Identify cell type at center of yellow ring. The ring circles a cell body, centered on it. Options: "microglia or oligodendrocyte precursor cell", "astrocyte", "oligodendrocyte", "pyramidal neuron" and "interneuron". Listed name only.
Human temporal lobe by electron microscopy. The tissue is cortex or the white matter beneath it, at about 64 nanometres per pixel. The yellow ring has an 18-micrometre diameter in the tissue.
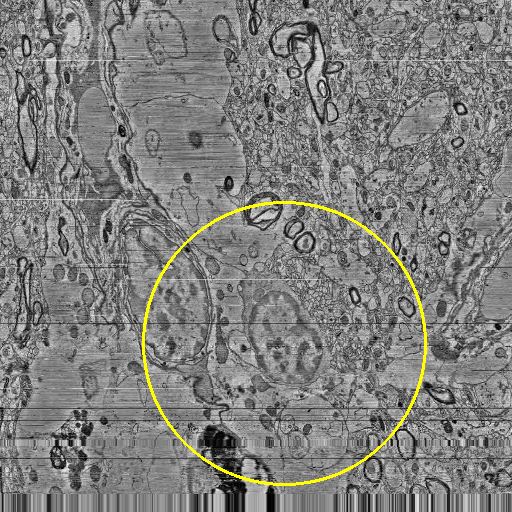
oligodendrocyte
